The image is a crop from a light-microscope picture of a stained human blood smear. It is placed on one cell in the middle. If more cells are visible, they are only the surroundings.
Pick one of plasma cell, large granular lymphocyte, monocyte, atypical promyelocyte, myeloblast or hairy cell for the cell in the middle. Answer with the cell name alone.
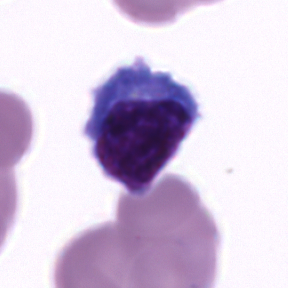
plasma cell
